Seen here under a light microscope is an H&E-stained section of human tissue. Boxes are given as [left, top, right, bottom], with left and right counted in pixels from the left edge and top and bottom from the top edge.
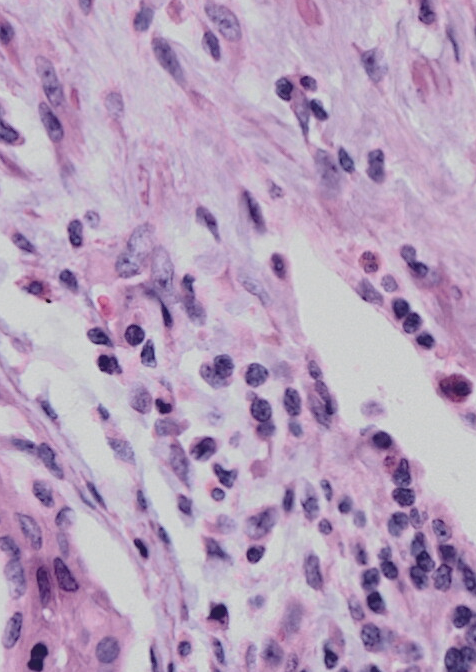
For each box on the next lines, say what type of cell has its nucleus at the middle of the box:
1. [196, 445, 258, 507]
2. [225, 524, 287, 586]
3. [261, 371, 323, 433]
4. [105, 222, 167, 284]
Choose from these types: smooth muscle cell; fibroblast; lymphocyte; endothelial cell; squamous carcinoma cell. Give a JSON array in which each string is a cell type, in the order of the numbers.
["lymphocyte", "lymphocyte", "lymphocyte", "endothelial cell"]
